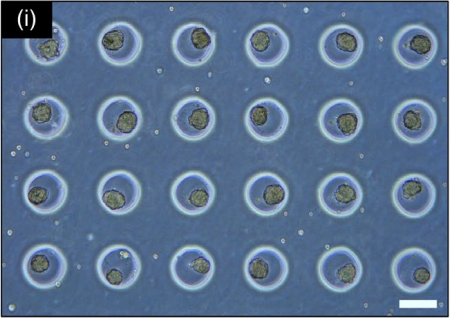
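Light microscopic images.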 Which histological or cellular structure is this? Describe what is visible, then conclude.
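Aggregates. Each circular well holds one compact, rounded cluster of cells. The clusters are much smaller than the wells and often lie against the well rim.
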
